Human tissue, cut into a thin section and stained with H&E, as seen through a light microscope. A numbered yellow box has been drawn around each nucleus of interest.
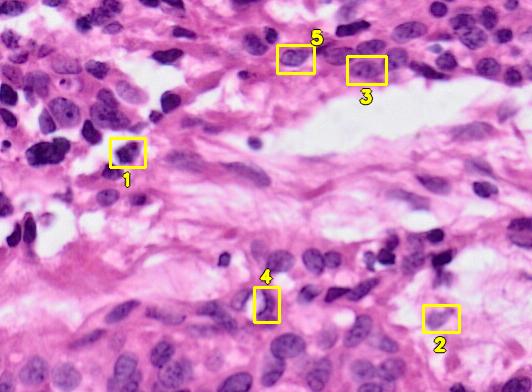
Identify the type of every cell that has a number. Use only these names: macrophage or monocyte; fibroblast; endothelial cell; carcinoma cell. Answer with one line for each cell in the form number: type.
1: carcinoma cell
2: fibroblast
3: carcinoma cell
4: endothelial cell
5: macrophage or monocyte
